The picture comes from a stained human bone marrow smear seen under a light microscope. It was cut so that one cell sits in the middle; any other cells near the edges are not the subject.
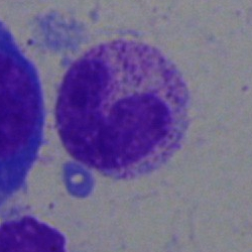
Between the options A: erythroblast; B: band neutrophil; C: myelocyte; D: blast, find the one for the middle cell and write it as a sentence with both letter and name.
Option B gets it right: the cell in the middle is a band neutrophil.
